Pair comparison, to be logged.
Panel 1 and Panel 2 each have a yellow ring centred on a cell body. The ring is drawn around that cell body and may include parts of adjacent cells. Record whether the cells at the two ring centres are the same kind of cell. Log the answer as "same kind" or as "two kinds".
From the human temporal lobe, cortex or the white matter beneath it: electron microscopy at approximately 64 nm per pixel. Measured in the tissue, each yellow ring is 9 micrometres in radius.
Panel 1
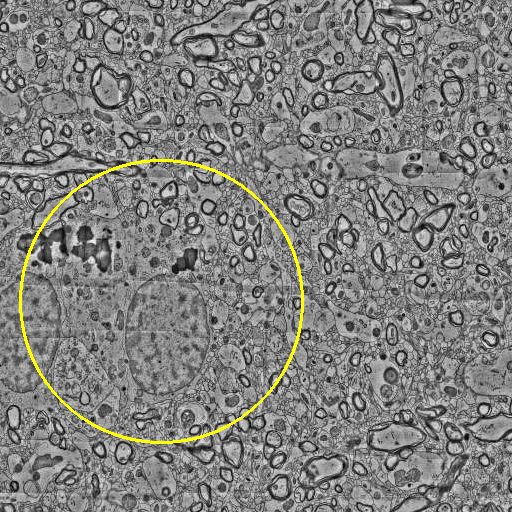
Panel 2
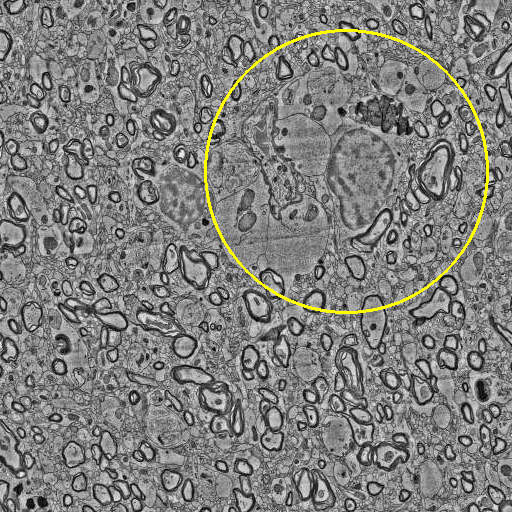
same kind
